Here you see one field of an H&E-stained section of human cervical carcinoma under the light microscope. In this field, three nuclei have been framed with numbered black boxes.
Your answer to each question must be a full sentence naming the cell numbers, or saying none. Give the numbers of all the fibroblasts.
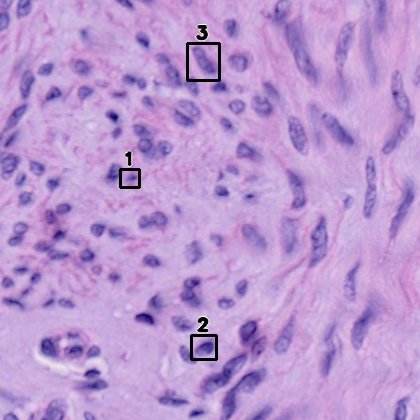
In contrast to the remaining marked cells, cell 2 is a fibroblast.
